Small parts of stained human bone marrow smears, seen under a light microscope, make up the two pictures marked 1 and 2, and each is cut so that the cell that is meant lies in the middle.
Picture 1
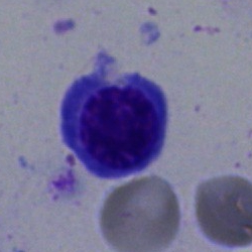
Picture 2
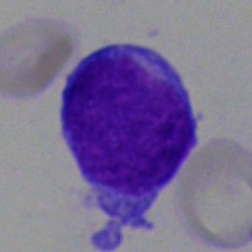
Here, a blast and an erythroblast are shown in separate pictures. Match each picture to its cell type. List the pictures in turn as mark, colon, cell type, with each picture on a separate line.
1: erythroblast
2: blast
